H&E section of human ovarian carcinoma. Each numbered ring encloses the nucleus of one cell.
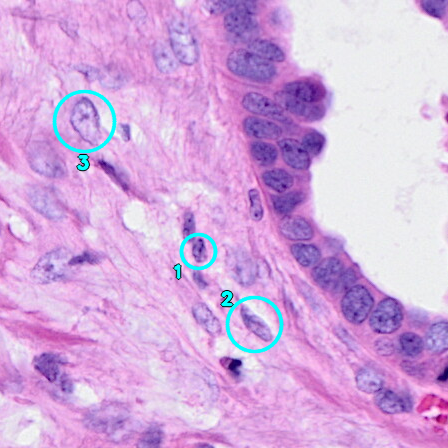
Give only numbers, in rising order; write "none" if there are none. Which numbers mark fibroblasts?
2, 3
